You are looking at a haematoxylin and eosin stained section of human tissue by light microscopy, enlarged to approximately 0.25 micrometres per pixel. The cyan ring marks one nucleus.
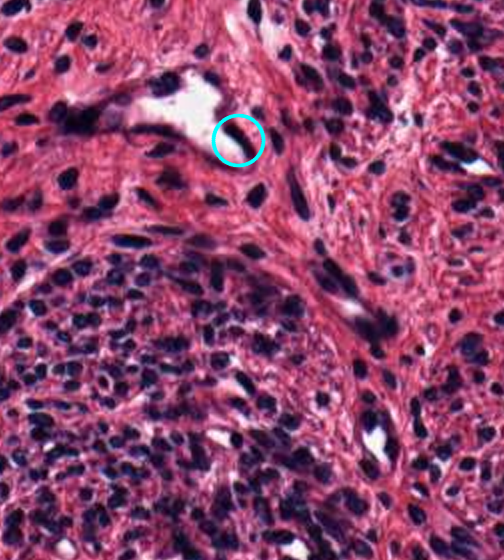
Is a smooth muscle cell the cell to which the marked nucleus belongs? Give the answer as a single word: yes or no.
no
